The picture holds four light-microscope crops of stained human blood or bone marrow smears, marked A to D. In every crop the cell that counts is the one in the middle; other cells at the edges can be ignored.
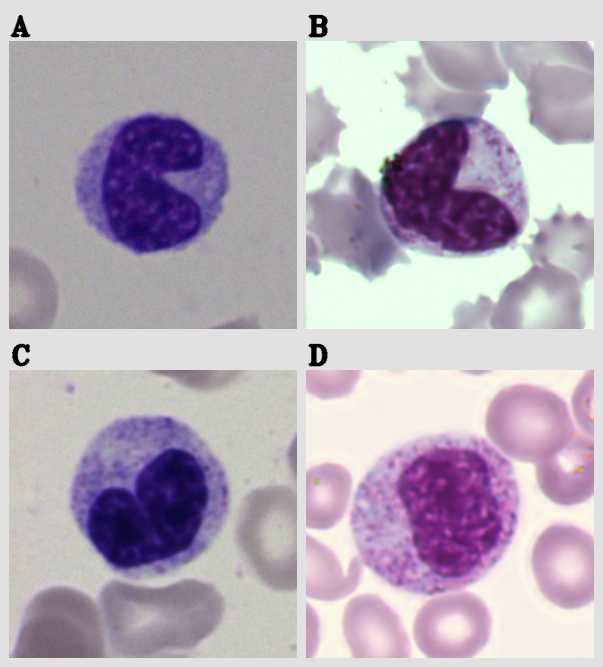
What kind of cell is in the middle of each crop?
A: band neutrophil
B: band neutrophil
C: metamyelocyte
D: metamyelocyte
